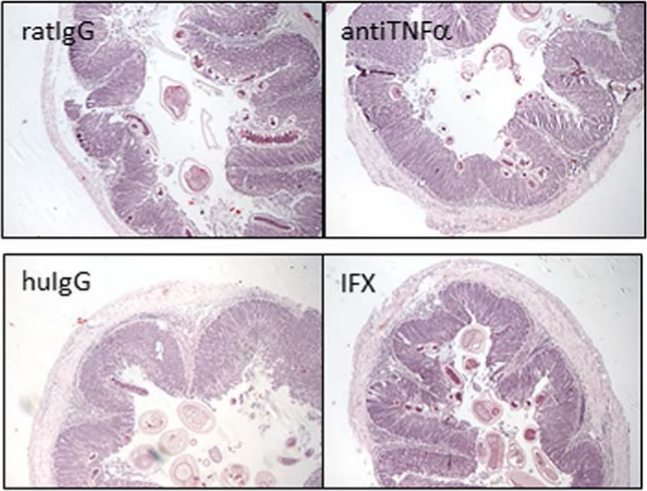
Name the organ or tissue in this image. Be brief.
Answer: Colonic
